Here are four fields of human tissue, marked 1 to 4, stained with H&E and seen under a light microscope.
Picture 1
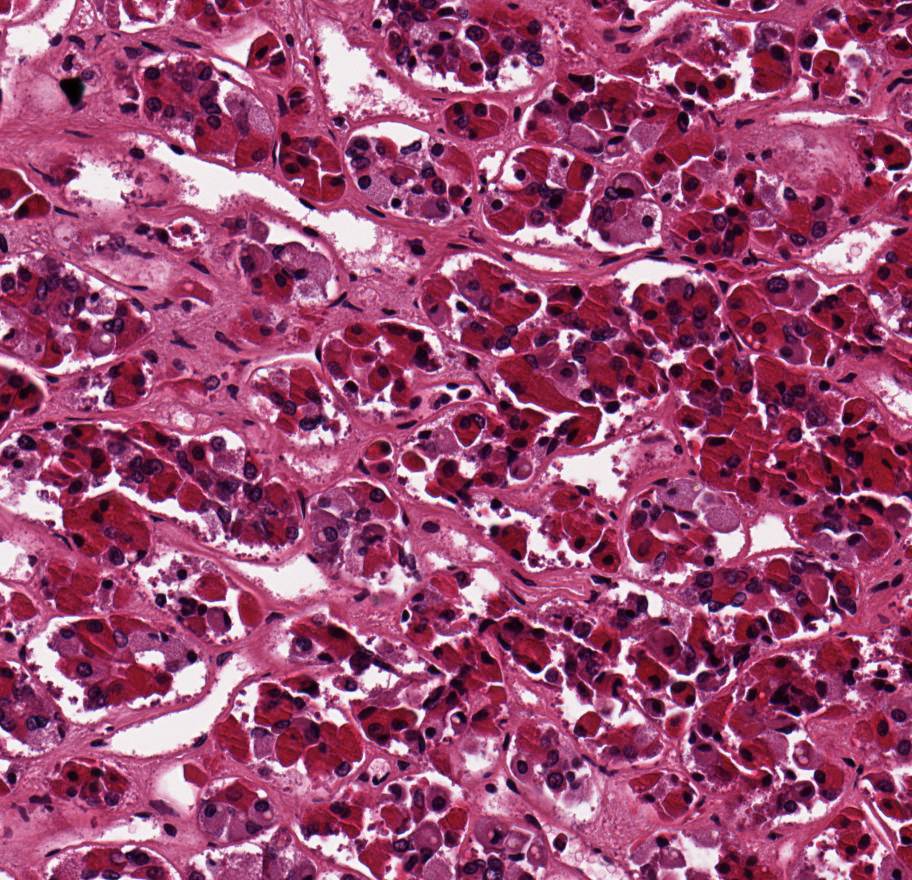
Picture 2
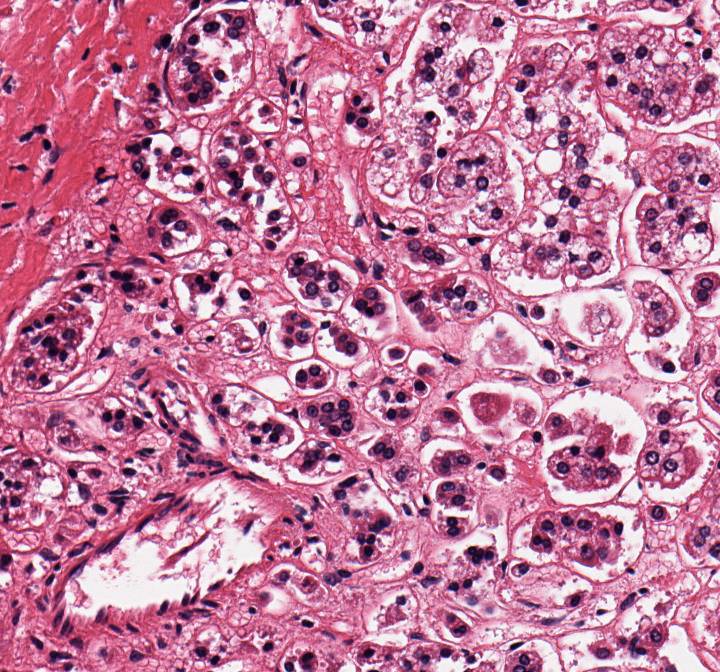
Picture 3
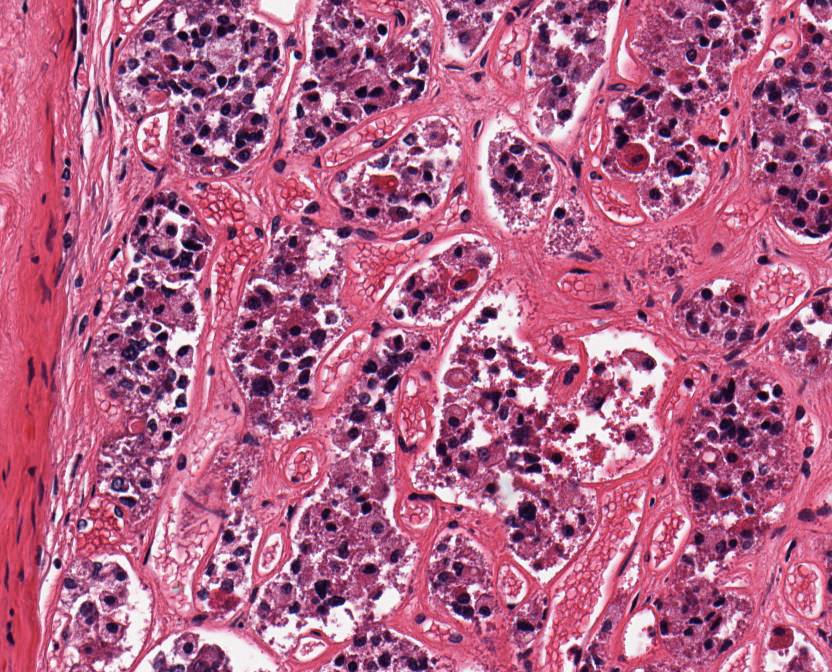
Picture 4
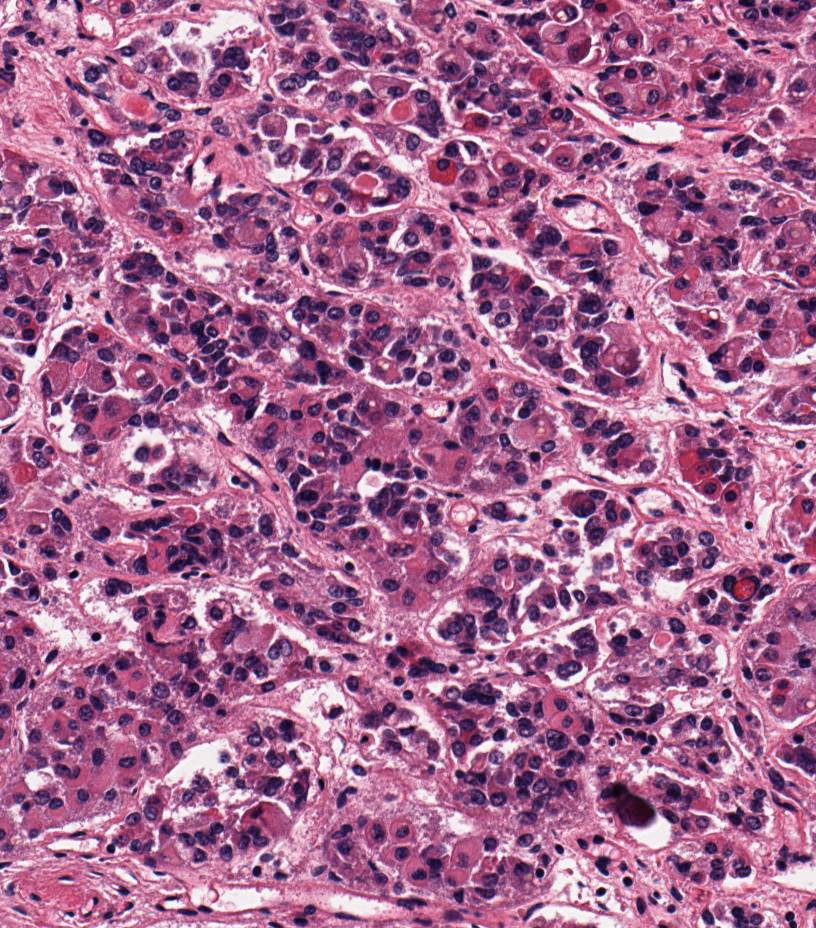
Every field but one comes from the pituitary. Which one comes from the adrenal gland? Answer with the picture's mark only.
2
